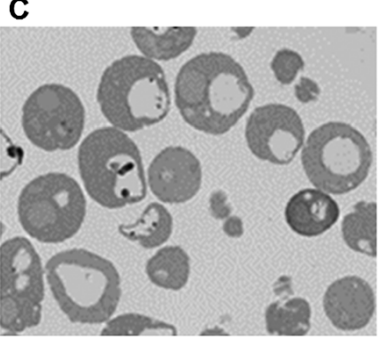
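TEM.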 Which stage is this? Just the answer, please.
Intact spheroplasts.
